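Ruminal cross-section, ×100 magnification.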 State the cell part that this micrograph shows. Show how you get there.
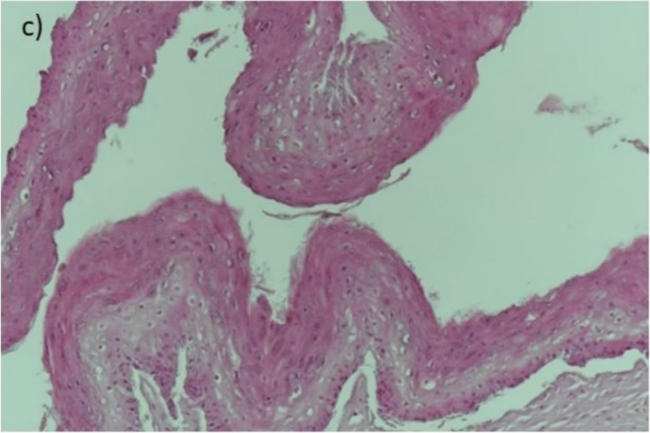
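Perinuclear vacuoles. Many epithelial cells show a clear, unstained halo around a small dark nucleus. The halos are spread through the thick pink stratified epithelium.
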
